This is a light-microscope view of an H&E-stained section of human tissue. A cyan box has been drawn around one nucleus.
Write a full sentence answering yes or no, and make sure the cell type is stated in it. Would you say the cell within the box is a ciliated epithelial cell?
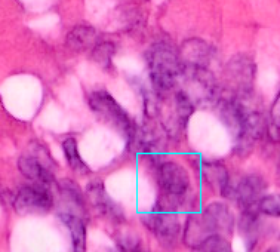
Yes, and to confirm, the cell within the box is a ciliated epithelial cell.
